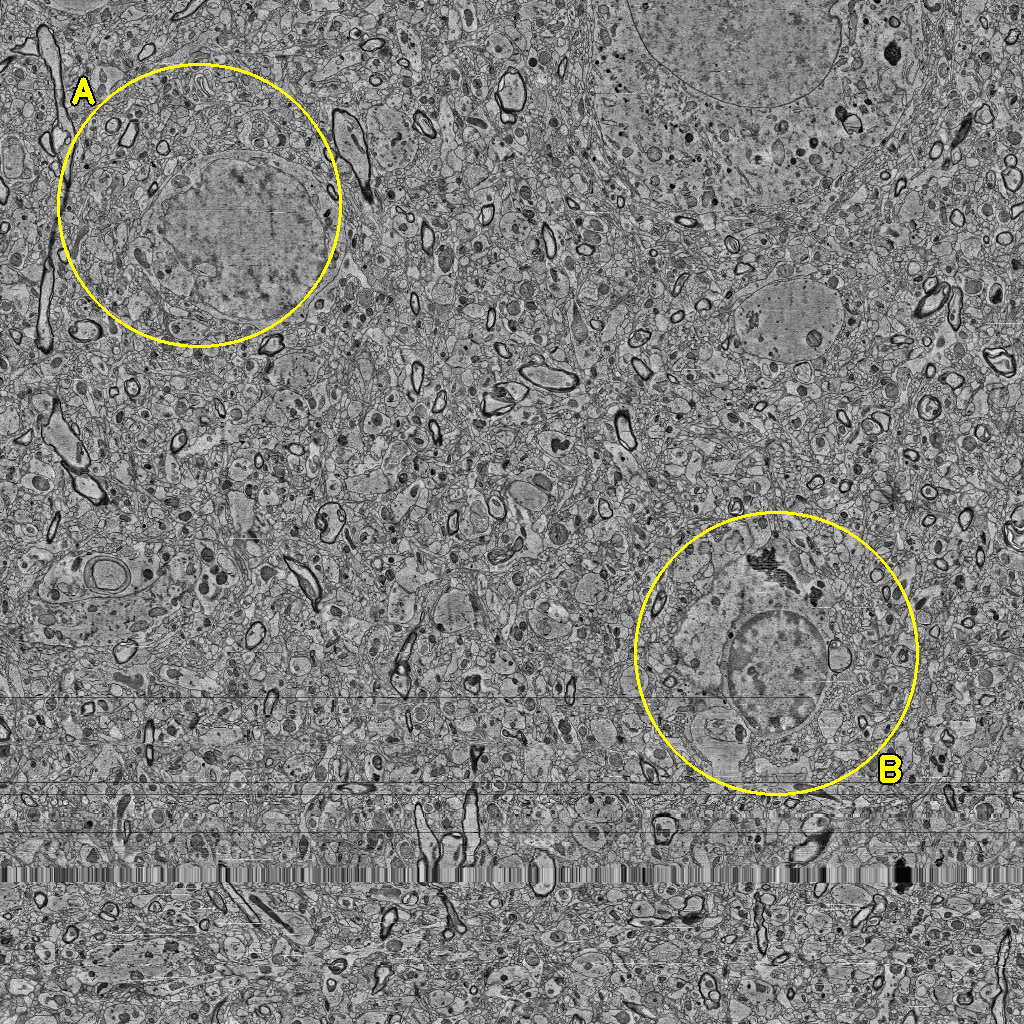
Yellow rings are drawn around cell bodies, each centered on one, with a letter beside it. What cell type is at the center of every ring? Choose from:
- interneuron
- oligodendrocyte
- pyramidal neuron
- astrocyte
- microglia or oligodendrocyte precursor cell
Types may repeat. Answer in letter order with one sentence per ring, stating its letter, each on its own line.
The cell at the center of ring A is an interneuron.
The cell at the center of ring B is an oligodendrocyte.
